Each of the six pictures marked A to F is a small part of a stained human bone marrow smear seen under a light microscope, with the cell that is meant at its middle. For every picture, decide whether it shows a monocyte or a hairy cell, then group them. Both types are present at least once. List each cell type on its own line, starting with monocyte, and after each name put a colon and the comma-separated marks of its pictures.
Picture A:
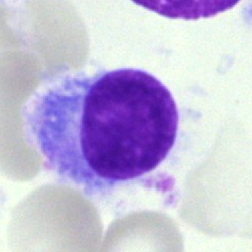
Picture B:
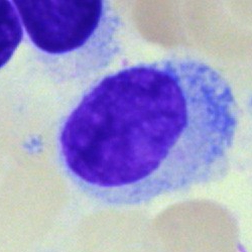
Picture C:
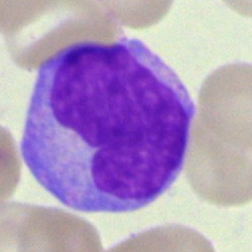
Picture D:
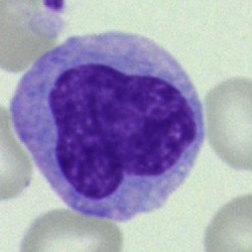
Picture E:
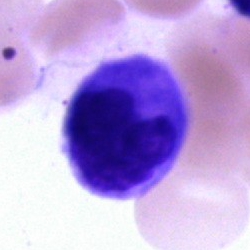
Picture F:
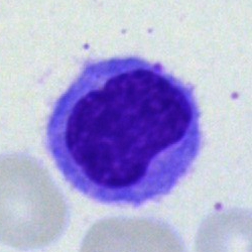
monocyte: C, D, E, F
hairy cell: A, B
